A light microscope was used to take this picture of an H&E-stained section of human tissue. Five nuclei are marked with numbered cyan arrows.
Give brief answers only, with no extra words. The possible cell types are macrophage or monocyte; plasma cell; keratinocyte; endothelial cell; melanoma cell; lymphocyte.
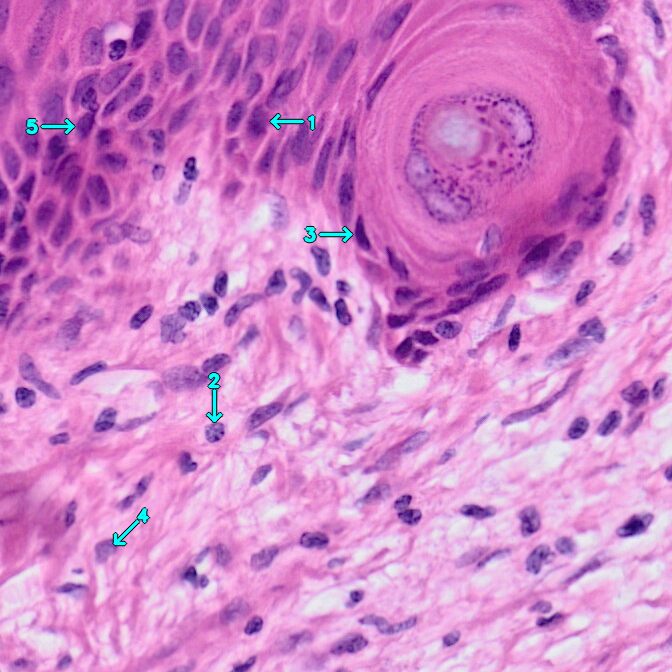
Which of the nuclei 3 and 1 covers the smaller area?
3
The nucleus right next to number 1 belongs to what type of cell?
keratinocyte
